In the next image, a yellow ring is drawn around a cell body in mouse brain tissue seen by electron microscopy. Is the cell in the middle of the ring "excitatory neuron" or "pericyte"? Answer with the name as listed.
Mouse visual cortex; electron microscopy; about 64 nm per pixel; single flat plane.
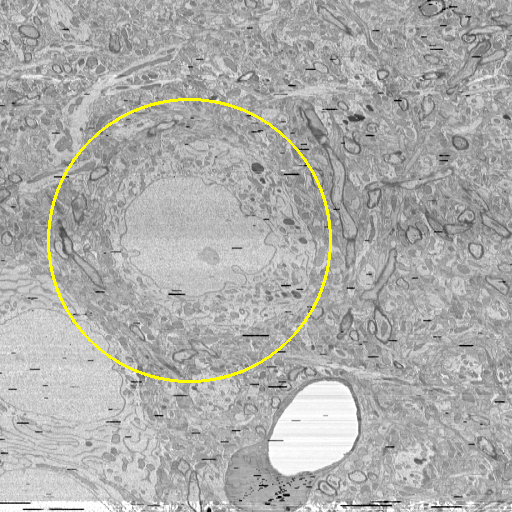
excitatory neuron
